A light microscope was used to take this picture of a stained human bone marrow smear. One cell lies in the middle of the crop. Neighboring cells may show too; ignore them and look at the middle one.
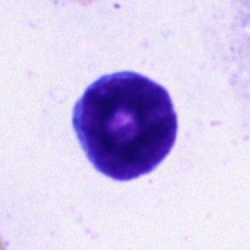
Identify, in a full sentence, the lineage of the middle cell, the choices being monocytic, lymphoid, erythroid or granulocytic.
The cell at the center of this crop is of lymphoid lineage.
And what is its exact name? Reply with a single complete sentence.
This crop's central cell is a lymphocyte.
